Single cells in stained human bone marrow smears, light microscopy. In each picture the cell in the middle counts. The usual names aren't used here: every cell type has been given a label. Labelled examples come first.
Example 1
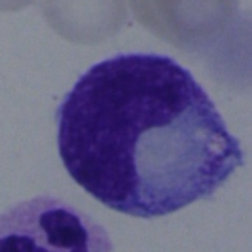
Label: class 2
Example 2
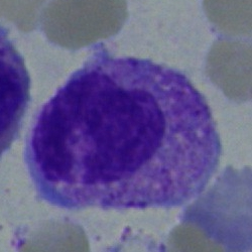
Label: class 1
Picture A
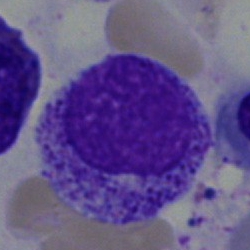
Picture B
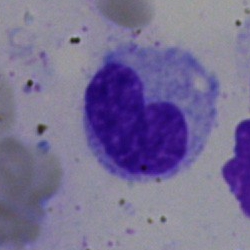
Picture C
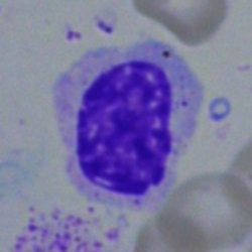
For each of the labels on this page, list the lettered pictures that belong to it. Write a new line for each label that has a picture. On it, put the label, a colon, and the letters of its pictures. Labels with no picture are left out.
class 2: B
class 1: A, C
